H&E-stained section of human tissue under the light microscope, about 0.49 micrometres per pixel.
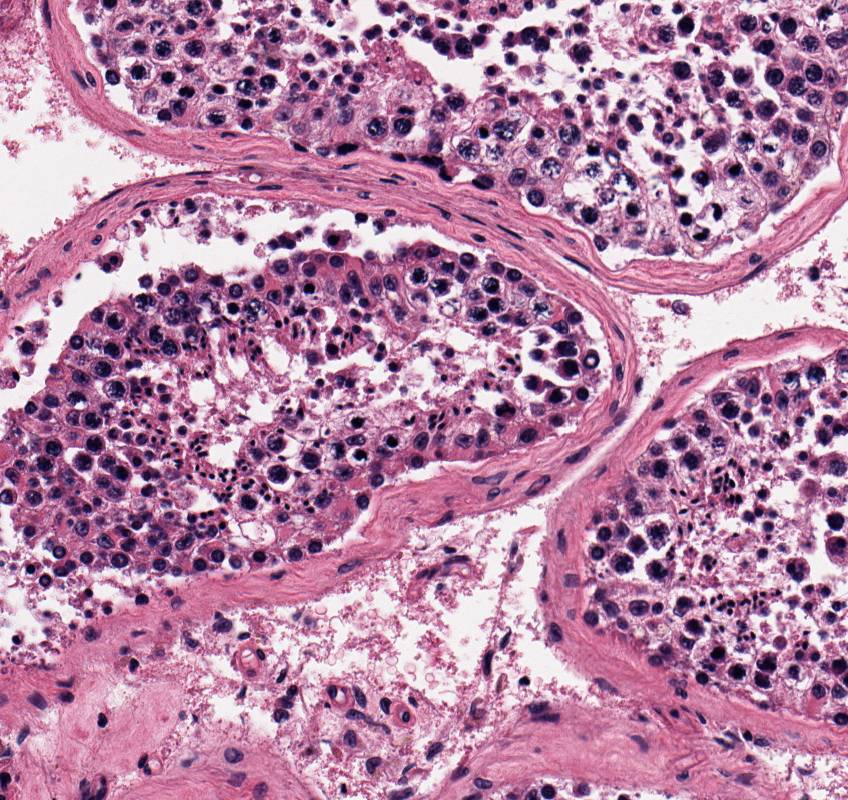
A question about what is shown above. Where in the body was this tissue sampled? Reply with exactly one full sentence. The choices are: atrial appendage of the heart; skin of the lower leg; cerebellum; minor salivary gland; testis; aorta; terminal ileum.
The origin of this tissue is the testis.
